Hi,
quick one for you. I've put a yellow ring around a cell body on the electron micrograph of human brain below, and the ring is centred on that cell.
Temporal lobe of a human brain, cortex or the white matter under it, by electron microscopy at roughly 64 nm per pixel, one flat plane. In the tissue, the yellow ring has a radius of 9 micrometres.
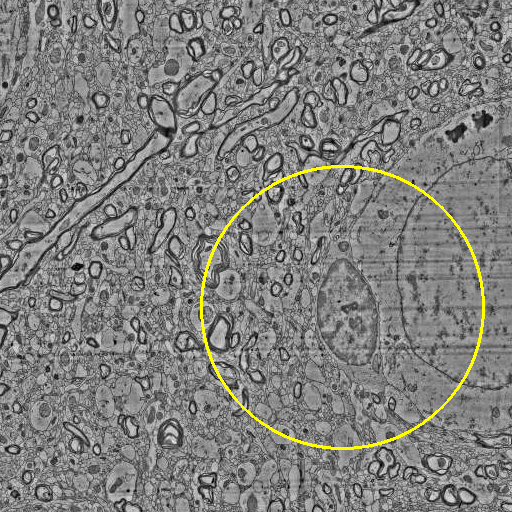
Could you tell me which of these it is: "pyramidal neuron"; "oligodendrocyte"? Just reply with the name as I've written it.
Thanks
oligodendrocyte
